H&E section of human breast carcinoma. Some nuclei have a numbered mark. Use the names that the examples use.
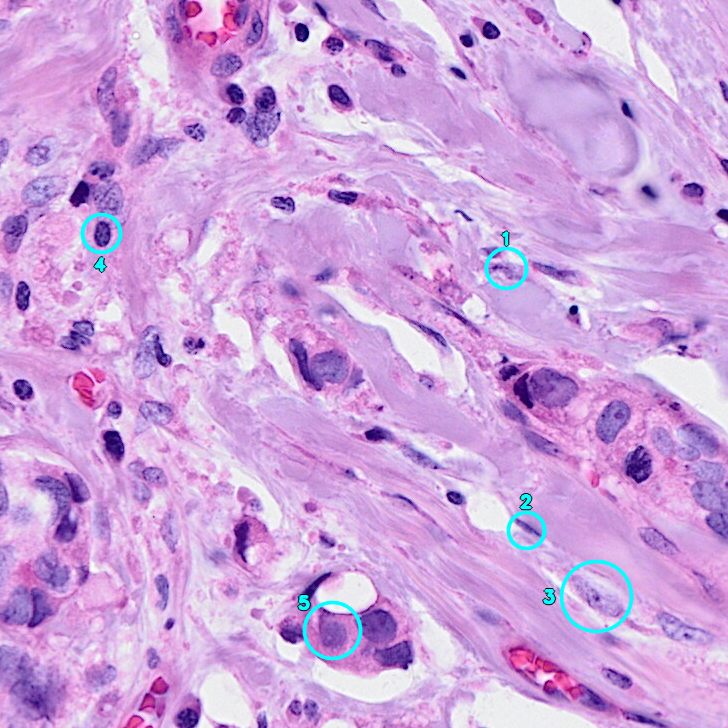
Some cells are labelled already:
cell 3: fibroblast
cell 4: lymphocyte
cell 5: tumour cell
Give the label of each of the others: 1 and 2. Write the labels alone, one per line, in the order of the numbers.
fibroblast
fibroblast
